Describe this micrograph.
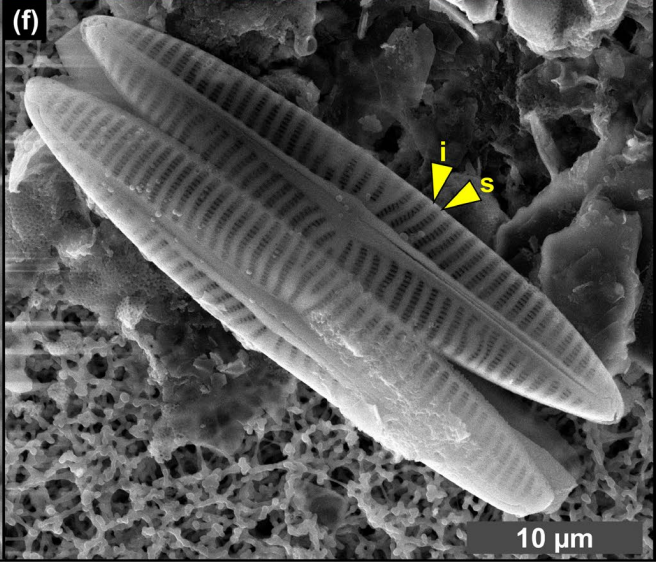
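Two elongated boat-shaped valves lie side by side, tapering to rounded ends, each with a straight line running down its middle. Along both sides of this line, rows of slit-like openings alternate with narrow solid ribs, the striae and interstriae of well-preserved naviculoid diatom valves.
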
